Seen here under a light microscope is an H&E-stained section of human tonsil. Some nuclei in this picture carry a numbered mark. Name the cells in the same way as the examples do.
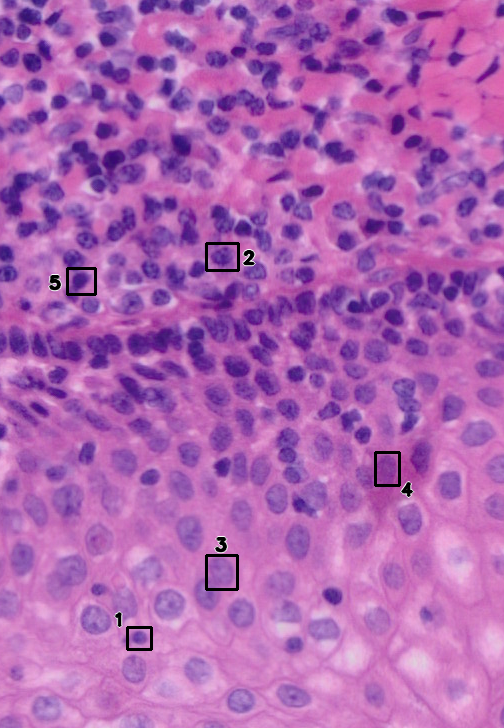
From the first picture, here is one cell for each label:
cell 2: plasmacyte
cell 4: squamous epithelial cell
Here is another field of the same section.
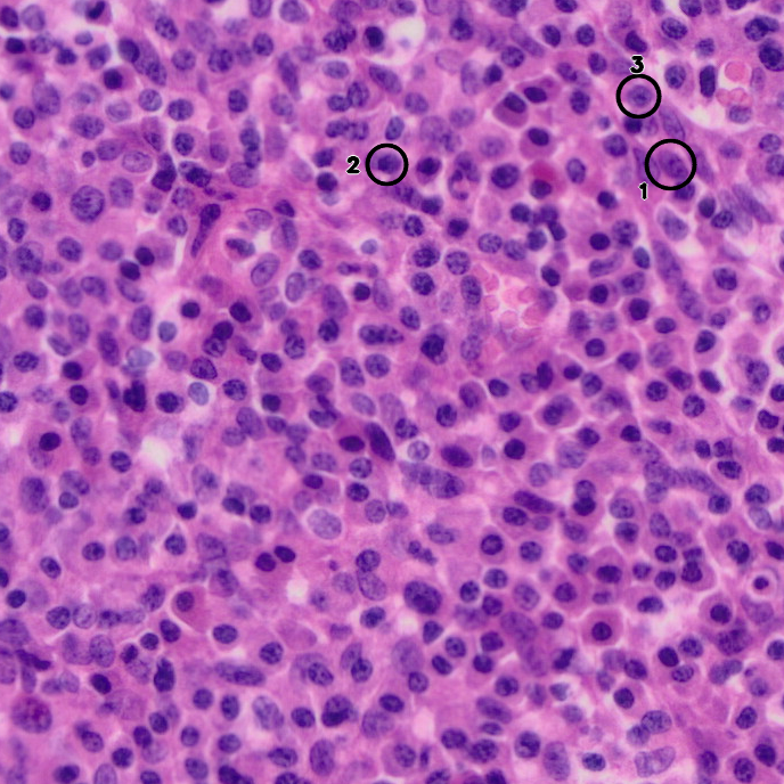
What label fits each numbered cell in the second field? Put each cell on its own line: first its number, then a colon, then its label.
1: squamous epithelial cell
2: squamous epithelial cell
3: plasmacyte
